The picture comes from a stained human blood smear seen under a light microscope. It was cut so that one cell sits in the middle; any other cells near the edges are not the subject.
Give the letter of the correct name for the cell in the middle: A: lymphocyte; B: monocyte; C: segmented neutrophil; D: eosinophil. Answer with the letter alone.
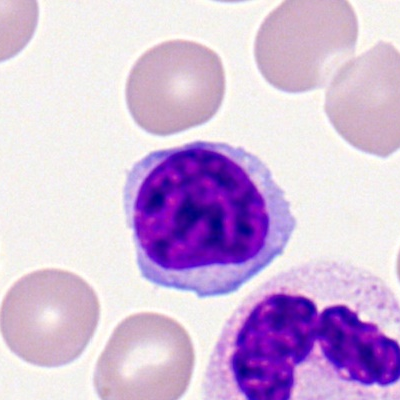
A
